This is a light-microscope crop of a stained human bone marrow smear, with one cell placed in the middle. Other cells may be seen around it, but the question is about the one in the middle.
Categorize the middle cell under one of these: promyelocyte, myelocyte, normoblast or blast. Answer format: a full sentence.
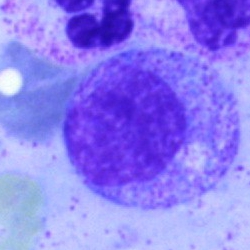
Occupying the centre of the crop is a myelocyte.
